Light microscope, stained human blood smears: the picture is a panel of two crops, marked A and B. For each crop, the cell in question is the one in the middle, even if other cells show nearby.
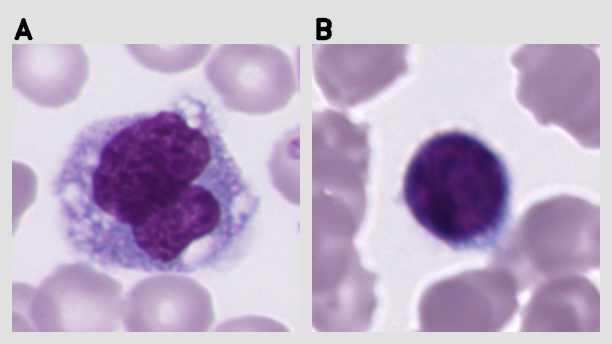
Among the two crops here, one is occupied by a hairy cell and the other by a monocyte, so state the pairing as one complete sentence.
Crop A is a monocyte, with crop B being a hairy cell.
